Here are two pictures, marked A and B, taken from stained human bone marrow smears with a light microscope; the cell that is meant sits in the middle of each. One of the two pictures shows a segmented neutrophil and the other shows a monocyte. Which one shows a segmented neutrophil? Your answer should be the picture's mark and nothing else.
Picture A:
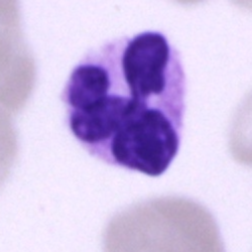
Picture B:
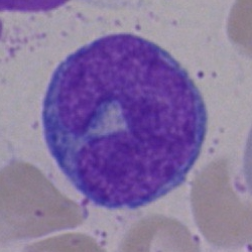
A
